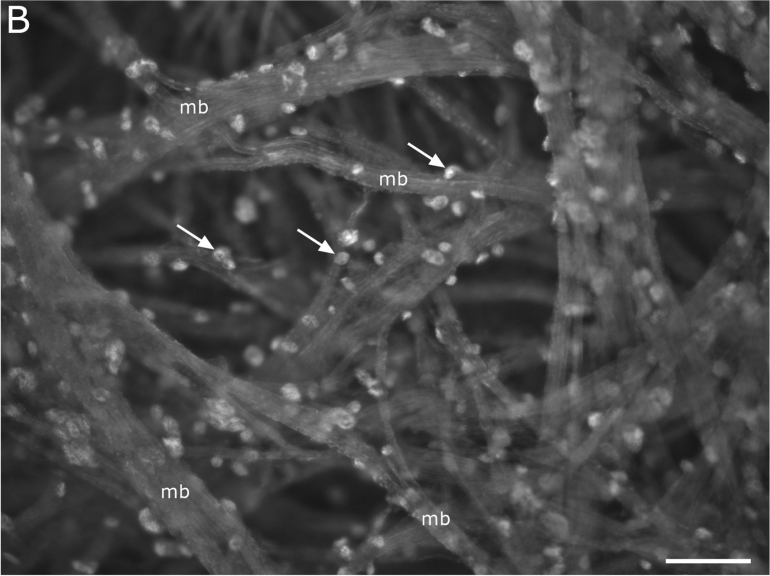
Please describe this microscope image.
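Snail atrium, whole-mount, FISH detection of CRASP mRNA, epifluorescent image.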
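The bundles are long, faintly fibrillar grey strands of varying width that branch and cross one another at different depths, leaving dark gaps between them. Scattered along and upon the bundles are many small, roughly round to oval cells. They appear as brighter granular or speckled bodies, sometimes singly and sometimes in small clusters. Some lie on thinner strands at the margins of the bundles. Out-of-focus cells and bundles in deeper planes give a blurred background.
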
